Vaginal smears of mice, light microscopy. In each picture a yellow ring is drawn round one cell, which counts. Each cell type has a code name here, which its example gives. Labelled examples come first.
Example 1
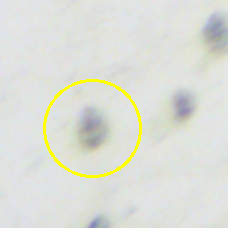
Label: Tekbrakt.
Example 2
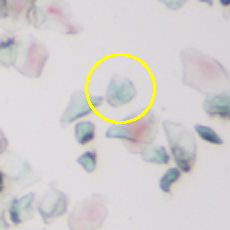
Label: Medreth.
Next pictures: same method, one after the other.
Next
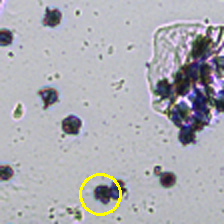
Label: Tekbrakt.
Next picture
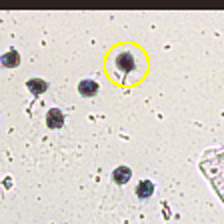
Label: Tekbrakt.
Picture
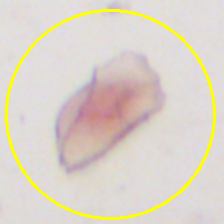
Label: Medreth.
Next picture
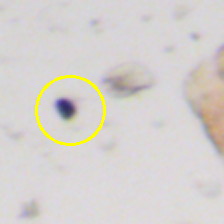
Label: Tekbrakt.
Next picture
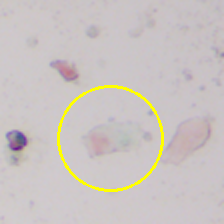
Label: Medreth.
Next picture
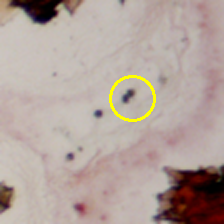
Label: Tekbrakt.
